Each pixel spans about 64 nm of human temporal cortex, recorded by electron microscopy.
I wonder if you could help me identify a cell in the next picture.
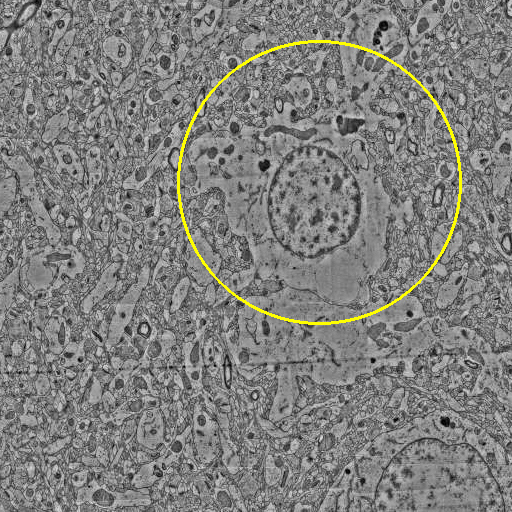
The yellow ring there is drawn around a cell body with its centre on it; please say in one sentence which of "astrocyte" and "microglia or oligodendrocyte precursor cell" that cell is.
The yellow ring is centred on an astrocyte.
